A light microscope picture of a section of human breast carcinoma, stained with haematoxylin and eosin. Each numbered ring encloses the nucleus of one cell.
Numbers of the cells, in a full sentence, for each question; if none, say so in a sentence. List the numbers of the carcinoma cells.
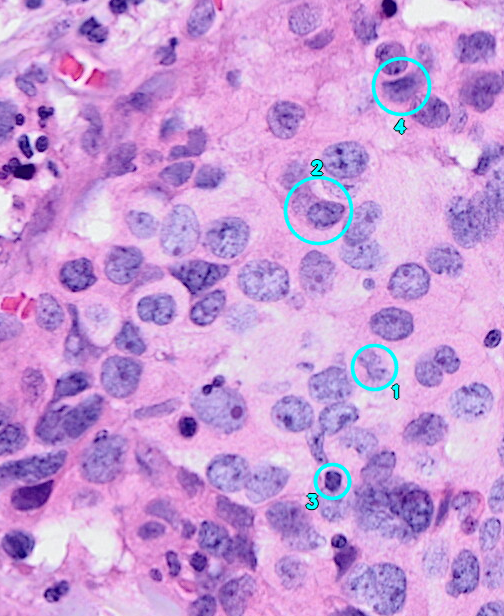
Marked by the numbers 1, 2 and 4 are cells that are carcinoma cells.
